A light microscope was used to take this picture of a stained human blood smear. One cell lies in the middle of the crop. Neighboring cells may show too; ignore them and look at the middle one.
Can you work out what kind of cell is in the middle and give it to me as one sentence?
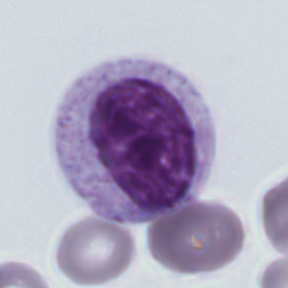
At the middle of the frame sits a myelocyte.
